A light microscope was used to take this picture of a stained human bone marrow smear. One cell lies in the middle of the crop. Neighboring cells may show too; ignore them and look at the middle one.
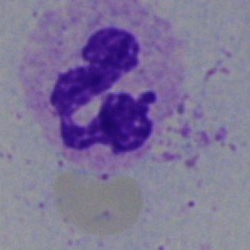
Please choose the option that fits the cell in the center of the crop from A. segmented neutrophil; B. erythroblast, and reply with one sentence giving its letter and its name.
Given that the cell in the middle is a segmented neutrophil, option A is correct.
